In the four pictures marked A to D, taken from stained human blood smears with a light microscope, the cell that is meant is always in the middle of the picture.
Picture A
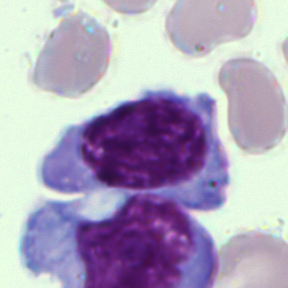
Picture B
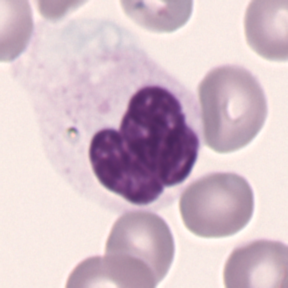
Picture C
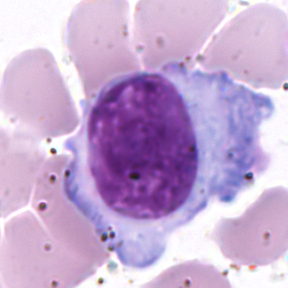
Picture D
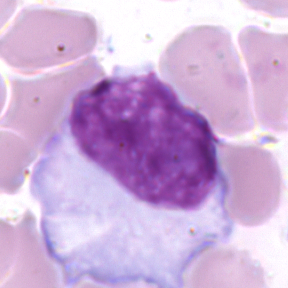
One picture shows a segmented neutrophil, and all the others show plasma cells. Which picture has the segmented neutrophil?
B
